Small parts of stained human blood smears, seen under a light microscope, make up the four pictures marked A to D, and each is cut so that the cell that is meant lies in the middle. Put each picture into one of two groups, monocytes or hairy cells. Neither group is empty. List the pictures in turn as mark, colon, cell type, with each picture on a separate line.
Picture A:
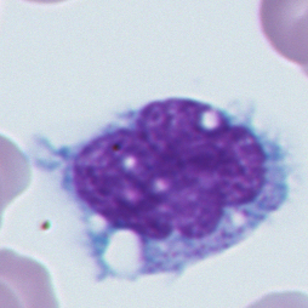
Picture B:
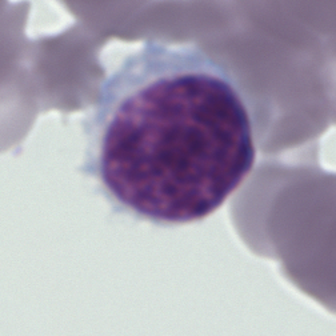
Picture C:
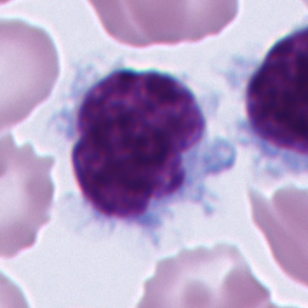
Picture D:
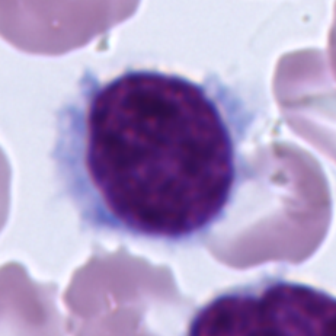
A: monocyte
B: hairy cell
C: hairy cell
D: hairy cell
